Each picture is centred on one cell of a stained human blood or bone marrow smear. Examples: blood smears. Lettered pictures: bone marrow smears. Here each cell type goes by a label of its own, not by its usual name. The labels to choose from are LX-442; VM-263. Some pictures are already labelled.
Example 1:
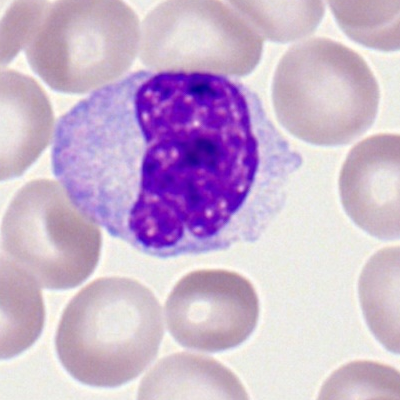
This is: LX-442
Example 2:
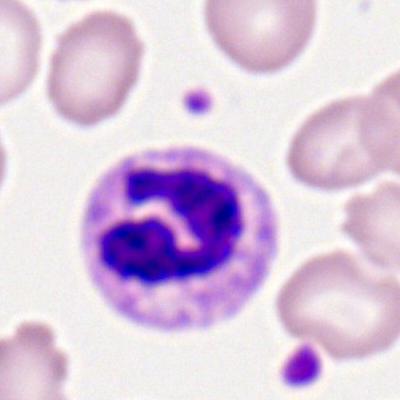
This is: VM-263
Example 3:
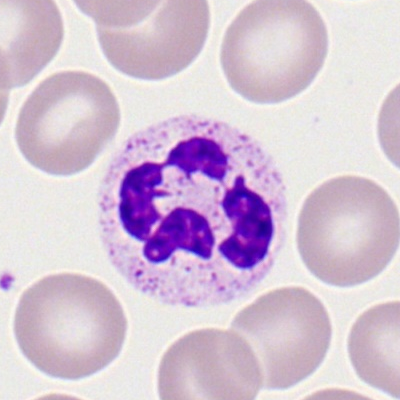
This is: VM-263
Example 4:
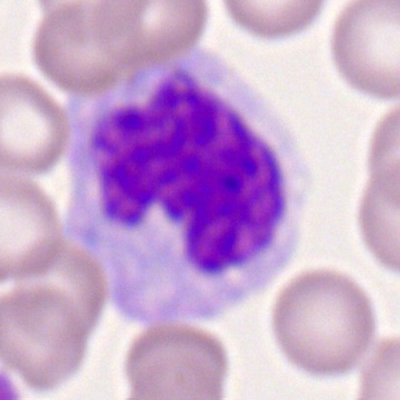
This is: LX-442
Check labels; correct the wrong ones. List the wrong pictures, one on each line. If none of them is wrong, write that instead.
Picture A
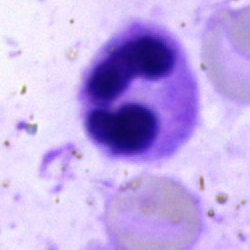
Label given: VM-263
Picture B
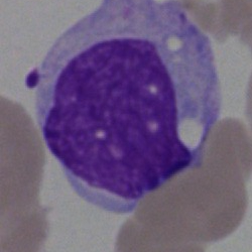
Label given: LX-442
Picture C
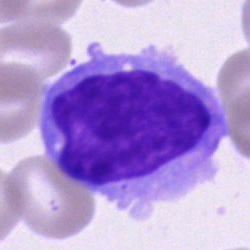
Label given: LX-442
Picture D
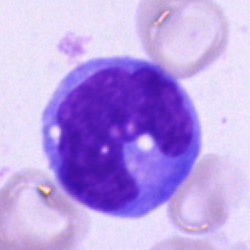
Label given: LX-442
All correct.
